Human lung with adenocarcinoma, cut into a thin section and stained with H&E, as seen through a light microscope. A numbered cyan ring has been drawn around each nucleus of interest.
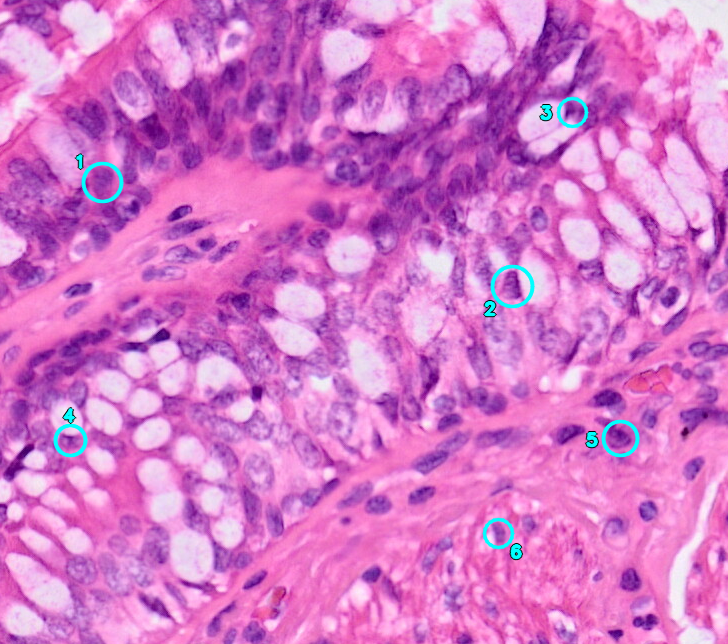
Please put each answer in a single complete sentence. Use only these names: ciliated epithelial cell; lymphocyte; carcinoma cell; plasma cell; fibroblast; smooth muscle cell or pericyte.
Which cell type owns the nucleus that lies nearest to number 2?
The nearest nucleus to number 2 belongs to a ciliated epithelial cell.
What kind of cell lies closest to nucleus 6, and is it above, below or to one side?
It is a smooth muscle cell or pericyte, whose nucleus lies to the right of nucleus 6.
